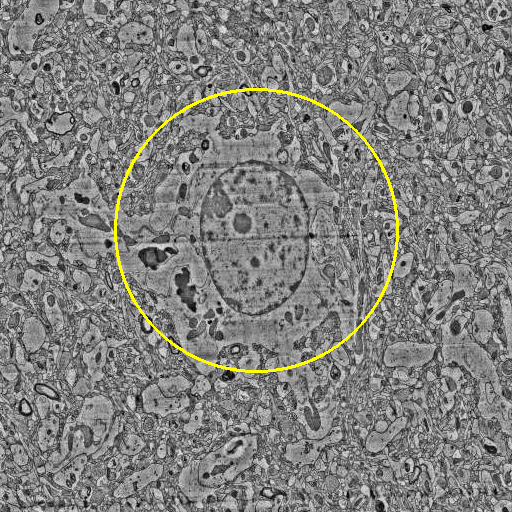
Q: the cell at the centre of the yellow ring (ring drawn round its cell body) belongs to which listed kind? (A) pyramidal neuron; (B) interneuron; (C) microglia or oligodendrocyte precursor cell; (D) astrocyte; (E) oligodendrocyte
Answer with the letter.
D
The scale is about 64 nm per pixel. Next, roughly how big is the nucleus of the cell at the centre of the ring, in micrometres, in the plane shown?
The nucleus measures about 10 by 7 micrometres in this plane.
